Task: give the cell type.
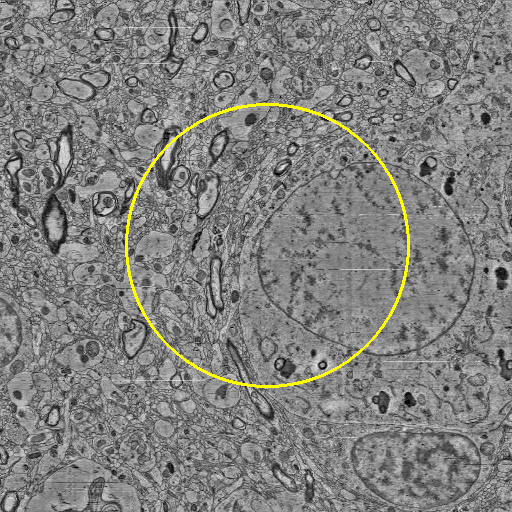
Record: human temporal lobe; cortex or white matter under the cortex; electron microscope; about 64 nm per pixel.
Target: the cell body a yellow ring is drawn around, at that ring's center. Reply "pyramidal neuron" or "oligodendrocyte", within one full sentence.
In this picture, the cell whose body lies at the ring's center is a pyramidal neuron.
